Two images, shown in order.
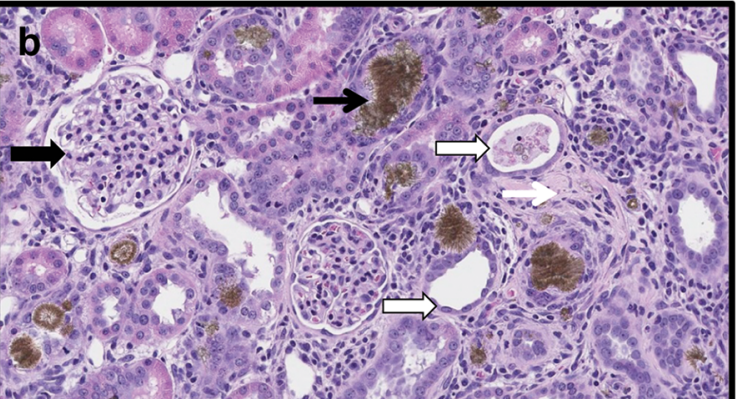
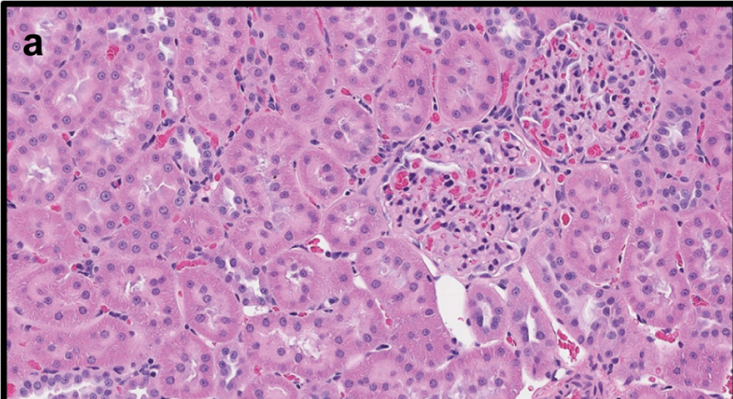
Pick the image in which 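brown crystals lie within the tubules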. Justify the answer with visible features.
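The first image. First image: many brown radiating deposits fill tubule lumens. Second image: tubules have clear lumens without any brown deposits.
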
